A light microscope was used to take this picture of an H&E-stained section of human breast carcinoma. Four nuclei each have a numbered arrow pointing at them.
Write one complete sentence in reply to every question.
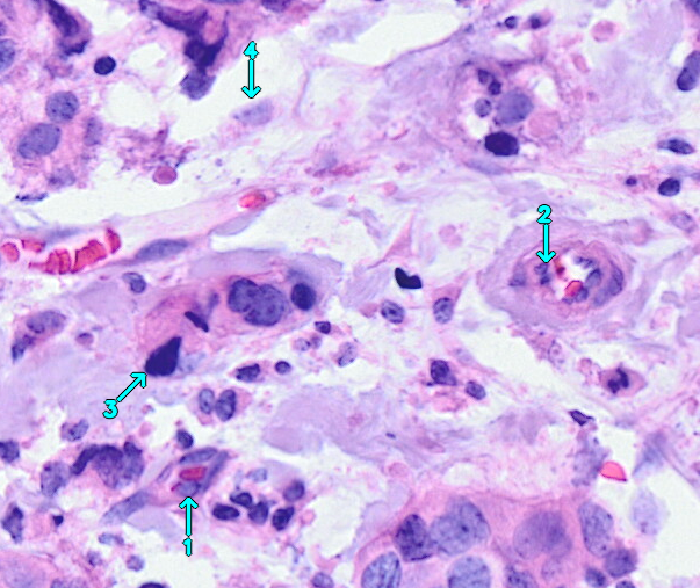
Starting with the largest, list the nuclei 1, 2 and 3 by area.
The nuclei rank 3, 1, 2, from largest to smallest.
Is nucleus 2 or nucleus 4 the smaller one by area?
With nucleus 4 about 2 times its size, nucleus 2 is the smaller of the two.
